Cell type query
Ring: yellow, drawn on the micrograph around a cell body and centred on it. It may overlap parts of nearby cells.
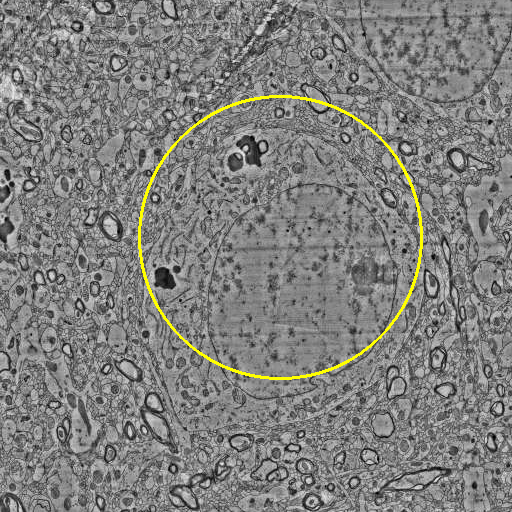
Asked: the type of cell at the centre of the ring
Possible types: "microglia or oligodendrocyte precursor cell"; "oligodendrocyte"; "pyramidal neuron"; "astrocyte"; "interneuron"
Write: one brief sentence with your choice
The ring marks a pyramidal neuron.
